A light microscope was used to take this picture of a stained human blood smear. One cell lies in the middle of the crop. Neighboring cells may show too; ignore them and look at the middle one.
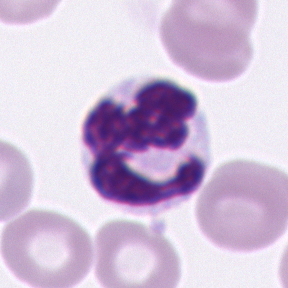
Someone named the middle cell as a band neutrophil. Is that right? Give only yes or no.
no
